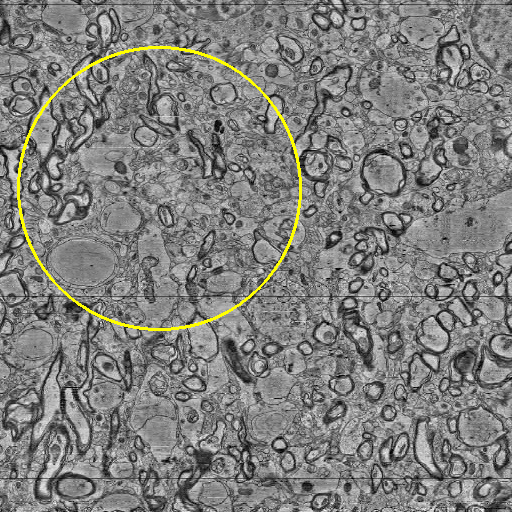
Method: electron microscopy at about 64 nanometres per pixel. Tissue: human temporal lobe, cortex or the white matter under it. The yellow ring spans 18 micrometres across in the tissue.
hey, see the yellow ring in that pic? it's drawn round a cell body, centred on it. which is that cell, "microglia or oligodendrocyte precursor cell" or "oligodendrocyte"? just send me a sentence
The cell in the ring is a microglial cell or oligodendrocyte precursor cell.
